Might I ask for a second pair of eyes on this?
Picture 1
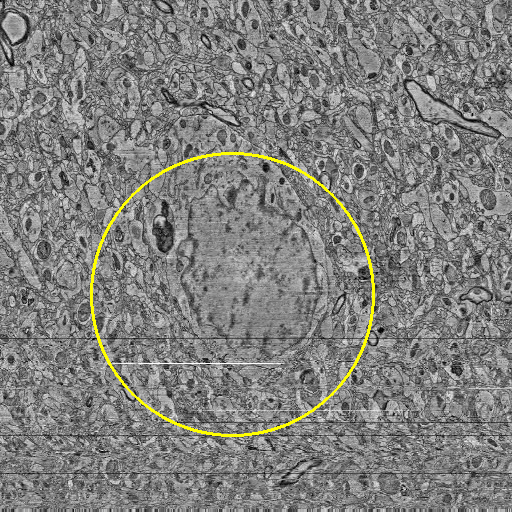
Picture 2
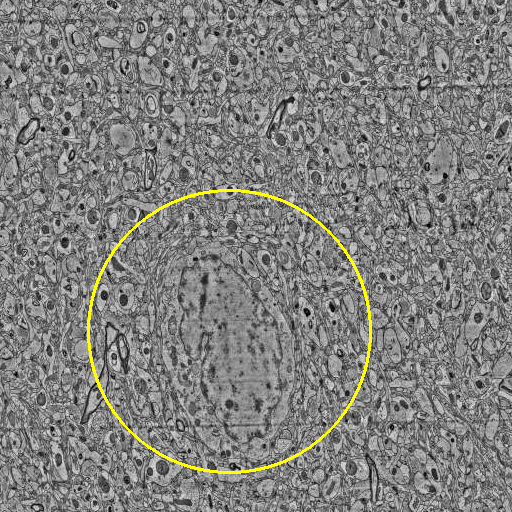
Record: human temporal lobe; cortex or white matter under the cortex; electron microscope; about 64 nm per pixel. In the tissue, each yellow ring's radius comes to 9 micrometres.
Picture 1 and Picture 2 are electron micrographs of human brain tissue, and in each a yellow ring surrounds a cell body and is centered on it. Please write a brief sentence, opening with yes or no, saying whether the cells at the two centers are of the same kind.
Yes, the cells are of the same kind.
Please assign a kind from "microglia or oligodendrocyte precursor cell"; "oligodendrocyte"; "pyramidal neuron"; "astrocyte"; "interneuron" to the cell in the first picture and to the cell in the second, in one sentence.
Each of the two cells is an interneuron.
